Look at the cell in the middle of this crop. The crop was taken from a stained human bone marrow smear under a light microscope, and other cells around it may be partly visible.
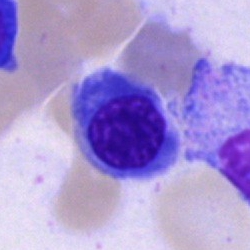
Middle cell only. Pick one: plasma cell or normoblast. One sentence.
In this crop, the cell at the very middle is a normoblast.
